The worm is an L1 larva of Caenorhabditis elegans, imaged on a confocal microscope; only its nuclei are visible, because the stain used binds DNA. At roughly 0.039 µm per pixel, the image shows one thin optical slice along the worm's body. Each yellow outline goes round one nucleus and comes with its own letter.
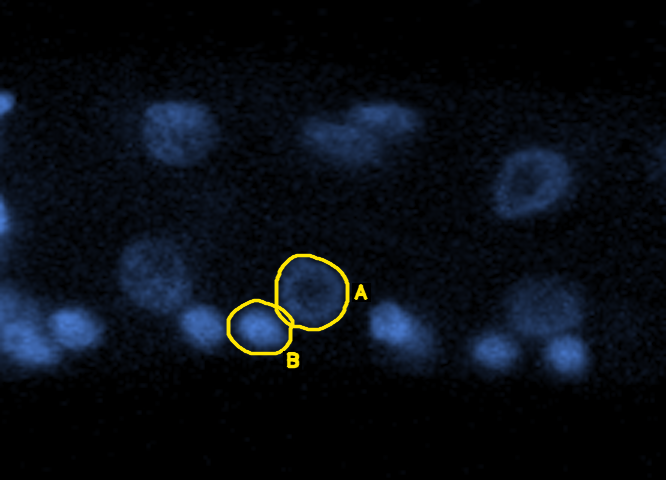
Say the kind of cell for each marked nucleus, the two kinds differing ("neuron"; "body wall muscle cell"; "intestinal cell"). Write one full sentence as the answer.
The nucleus A is that of an intestinal cell, while B is that of a neuron.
